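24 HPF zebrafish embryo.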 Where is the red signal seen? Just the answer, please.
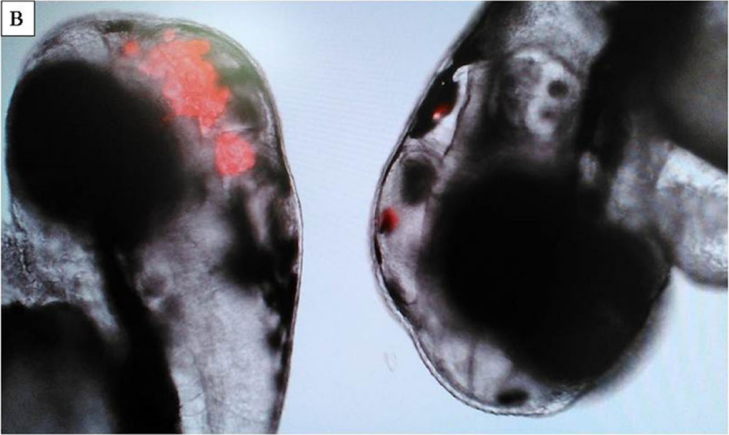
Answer: Brain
